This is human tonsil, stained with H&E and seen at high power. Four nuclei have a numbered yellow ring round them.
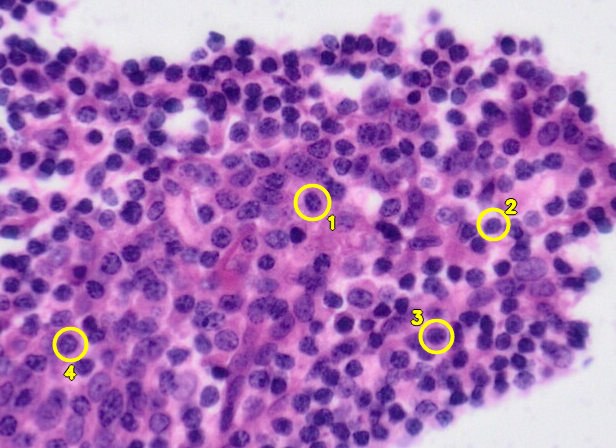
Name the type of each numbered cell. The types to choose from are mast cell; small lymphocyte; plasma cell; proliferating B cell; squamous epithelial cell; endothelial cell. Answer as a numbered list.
1. plasma cell
2. small lymphocyte
3. small lymphocyte
4. plasma cell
